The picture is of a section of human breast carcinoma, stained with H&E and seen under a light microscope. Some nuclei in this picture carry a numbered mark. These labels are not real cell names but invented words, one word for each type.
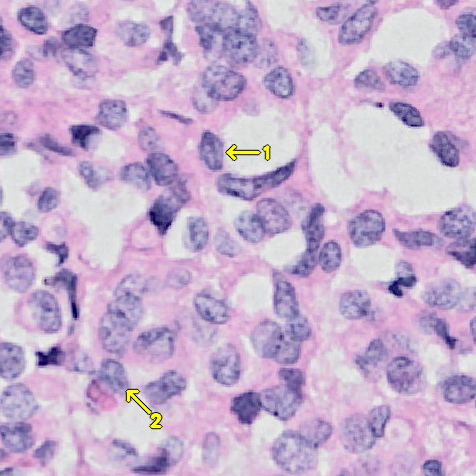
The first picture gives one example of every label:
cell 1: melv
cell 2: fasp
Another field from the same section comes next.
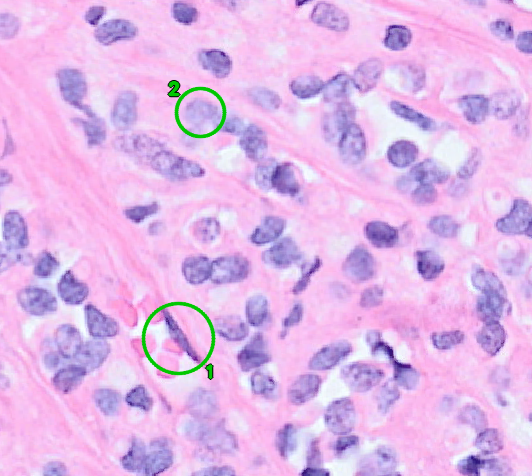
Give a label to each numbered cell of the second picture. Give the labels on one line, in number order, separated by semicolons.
fasp; melv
